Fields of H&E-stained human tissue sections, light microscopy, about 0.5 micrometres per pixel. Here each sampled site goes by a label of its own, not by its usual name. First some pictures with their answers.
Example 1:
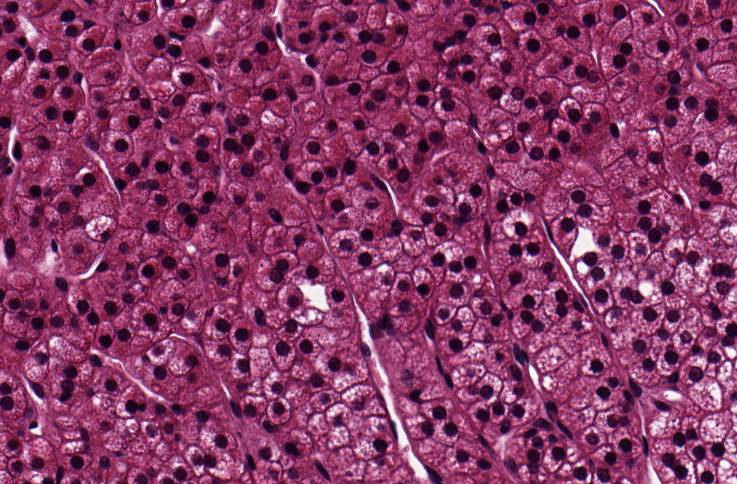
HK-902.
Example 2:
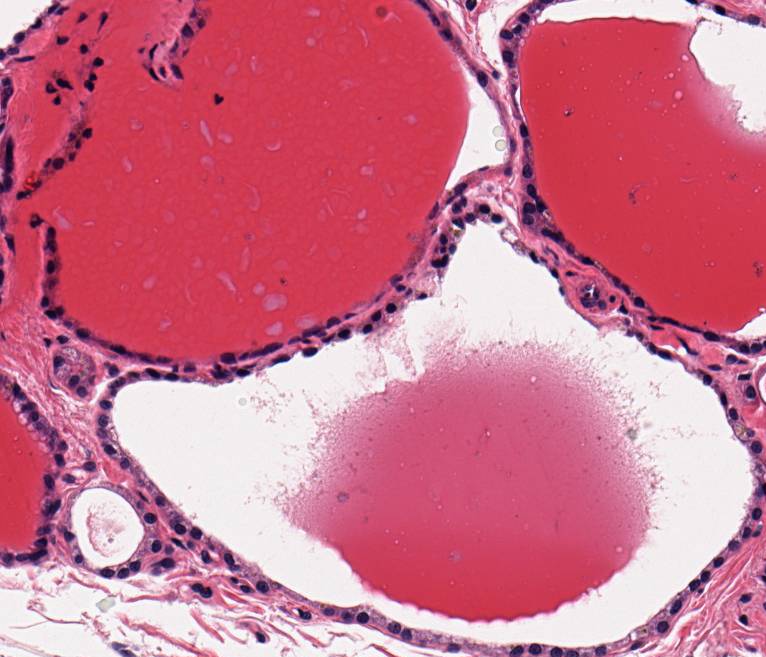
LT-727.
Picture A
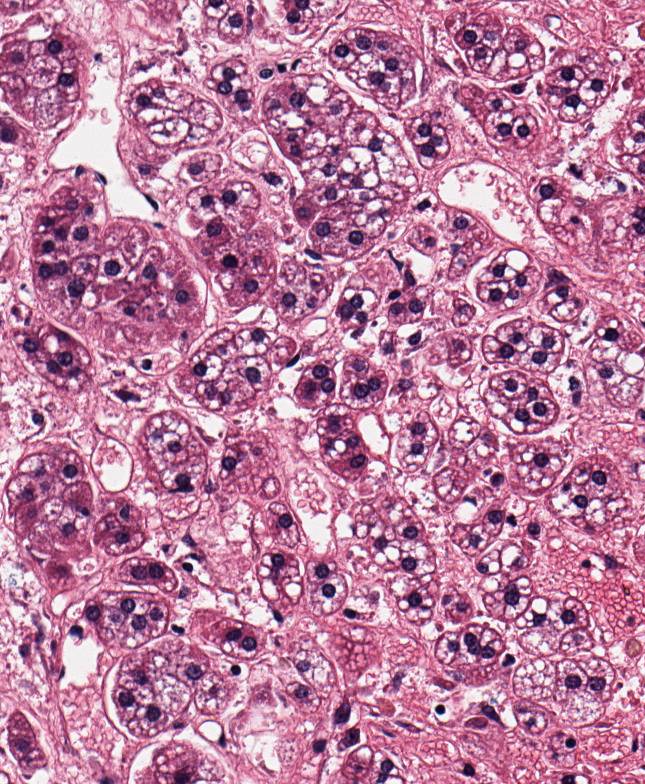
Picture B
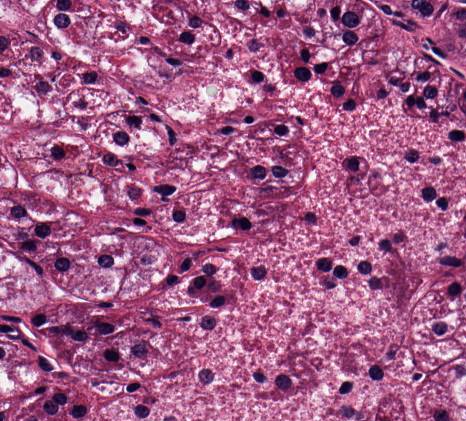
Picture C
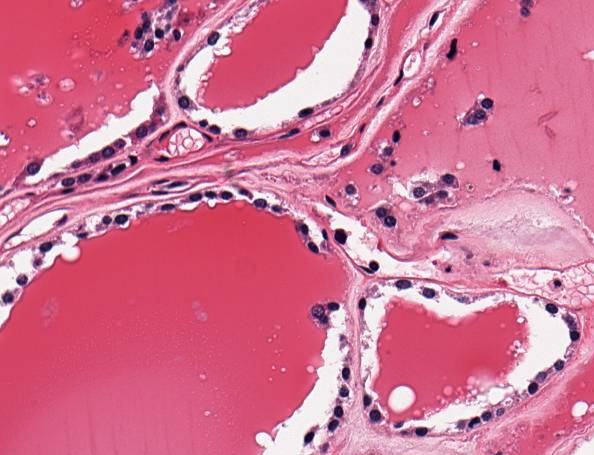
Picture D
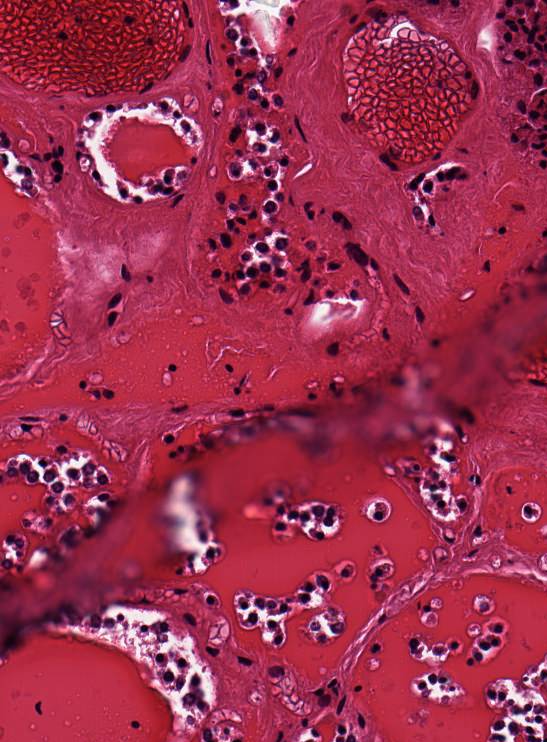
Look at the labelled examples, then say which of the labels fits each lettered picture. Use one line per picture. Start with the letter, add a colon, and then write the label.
A: HK-902.
B: HK-902.
C: LT-727.
D: LT-727.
